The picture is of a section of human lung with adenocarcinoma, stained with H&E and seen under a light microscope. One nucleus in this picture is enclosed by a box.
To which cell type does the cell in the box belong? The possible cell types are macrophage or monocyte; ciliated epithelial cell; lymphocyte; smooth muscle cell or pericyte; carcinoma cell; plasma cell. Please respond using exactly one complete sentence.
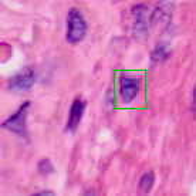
Within this tissue, the cell in the box is a smooth muscle cell or pericyte.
